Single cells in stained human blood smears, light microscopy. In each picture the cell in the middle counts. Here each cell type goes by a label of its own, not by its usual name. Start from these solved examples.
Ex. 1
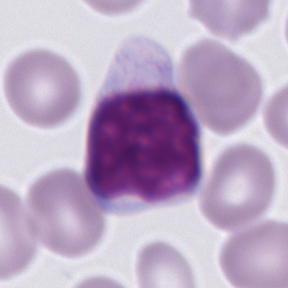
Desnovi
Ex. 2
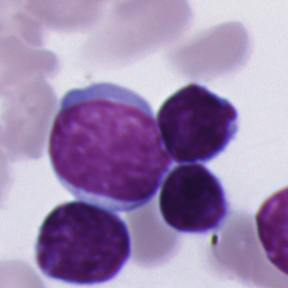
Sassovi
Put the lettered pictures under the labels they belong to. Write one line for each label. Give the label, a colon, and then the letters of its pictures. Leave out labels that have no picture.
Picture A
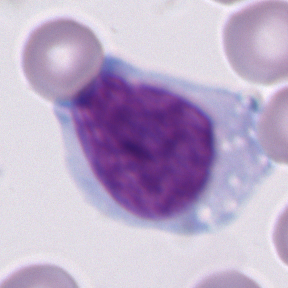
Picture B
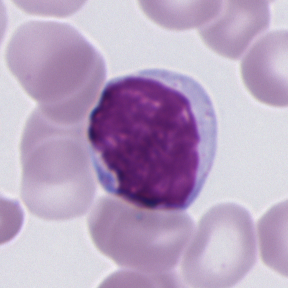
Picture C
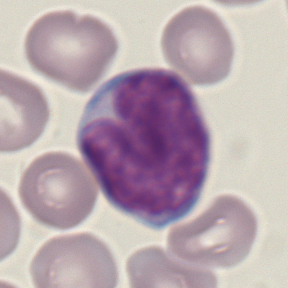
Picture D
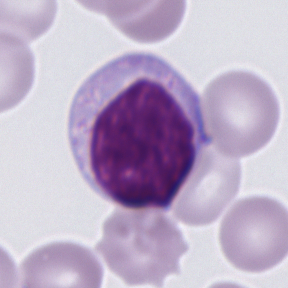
Desnovi: B, D
Sassovi: A, C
